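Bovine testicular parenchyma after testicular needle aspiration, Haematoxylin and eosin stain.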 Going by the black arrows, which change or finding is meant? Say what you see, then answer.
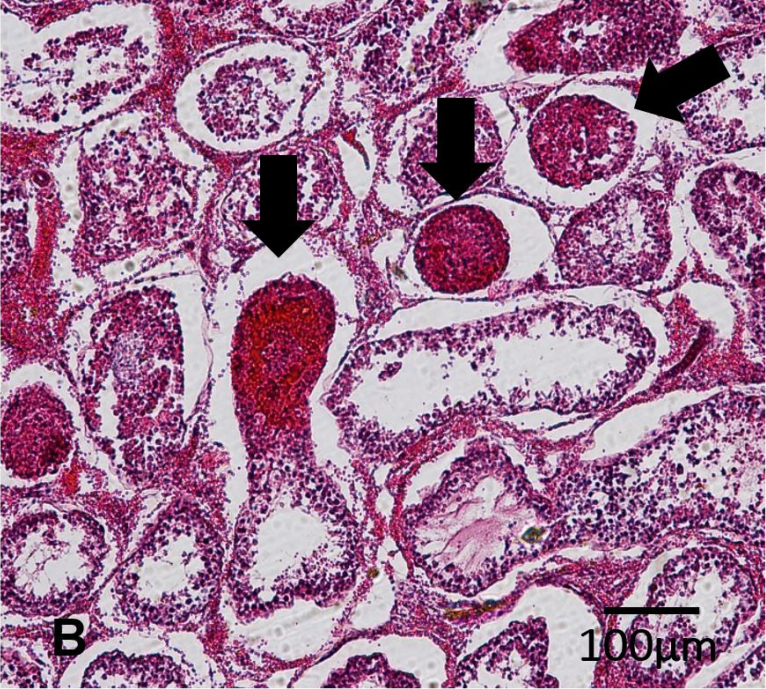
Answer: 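Intratubular hemorrhage. The arrows point to tubule profiles whose lumina are filled with red material. Neighbouring tubules have pale or cell-filled lumina without red filling.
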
